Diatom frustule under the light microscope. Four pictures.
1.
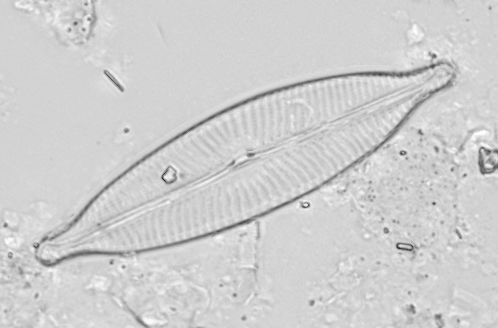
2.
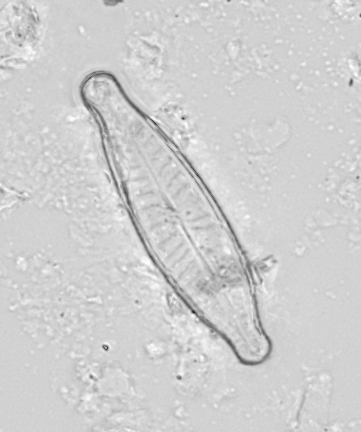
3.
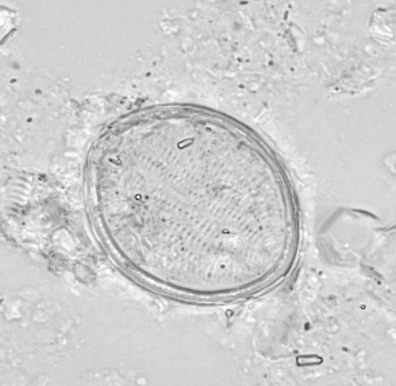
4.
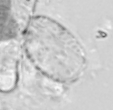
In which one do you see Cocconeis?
In picture 3.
